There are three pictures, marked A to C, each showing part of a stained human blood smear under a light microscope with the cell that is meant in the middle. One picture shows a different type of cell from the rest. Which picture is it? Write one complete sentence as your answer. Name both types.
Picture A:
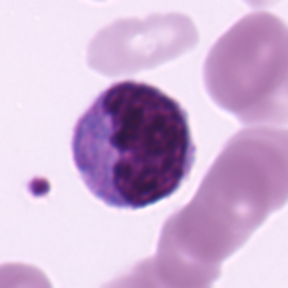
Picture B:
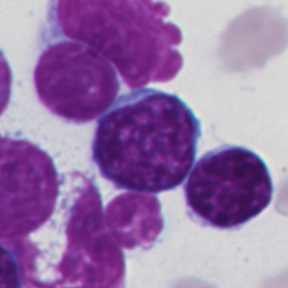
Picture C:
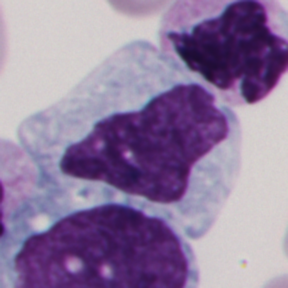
Picture B differs, because its cell is a myeloblast and the rest are monocytes.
